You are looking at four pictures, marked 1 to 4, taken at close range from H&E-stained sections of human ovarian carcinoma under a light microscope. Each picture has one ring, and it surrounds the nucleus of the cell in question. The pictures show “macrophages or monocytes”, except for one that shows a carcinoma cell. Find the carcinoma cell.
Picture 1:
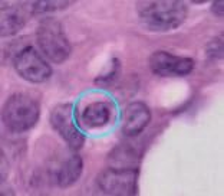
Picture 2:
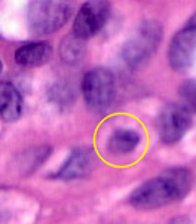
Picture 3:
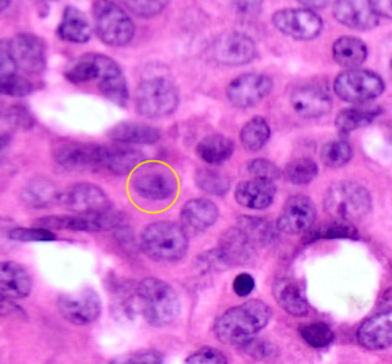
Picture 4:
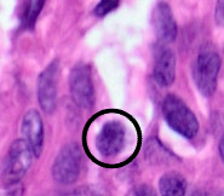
3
